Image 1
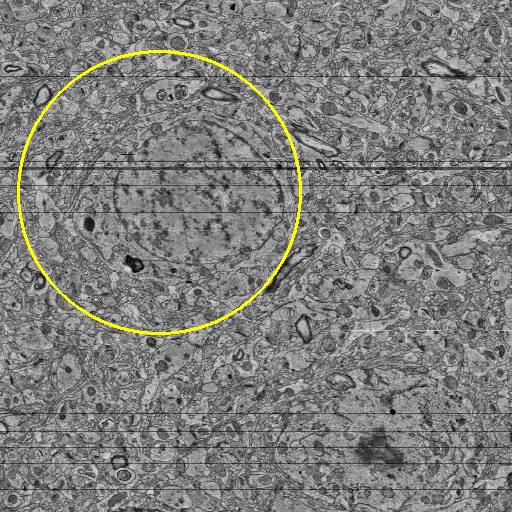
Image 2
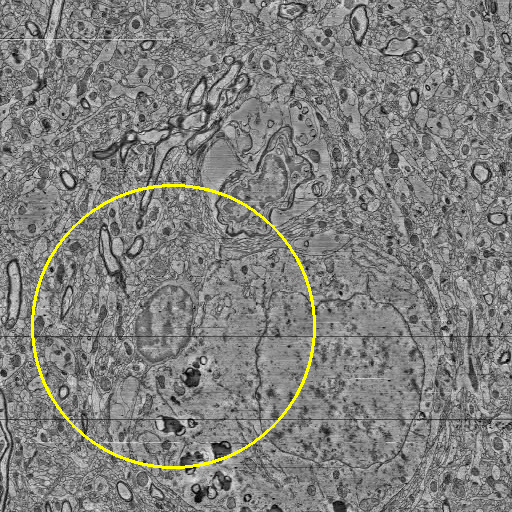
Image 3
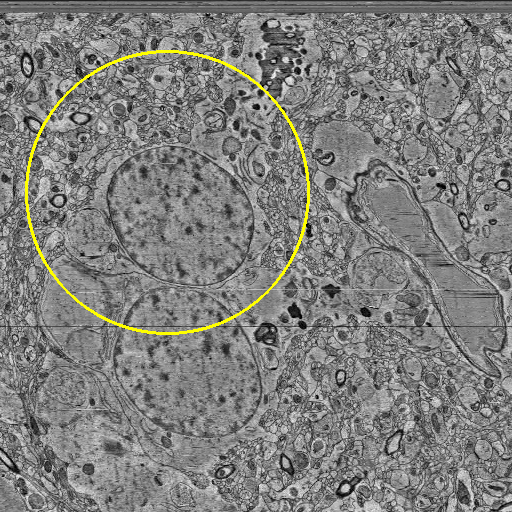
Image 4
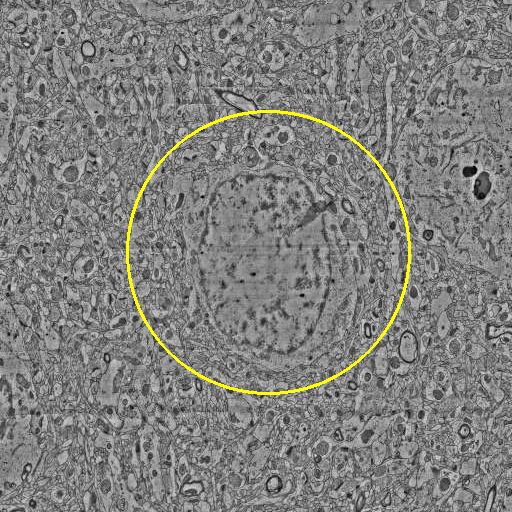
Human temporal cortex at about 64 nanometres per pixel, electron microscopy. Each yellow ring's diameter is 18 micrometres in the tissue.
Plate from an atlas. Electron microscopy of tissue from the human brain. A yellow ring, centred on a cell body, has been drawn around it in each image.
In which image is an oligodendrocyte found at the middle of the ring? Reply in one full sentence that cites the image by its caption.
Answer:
The requested cell is the one at the ring's centre in Image 2.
